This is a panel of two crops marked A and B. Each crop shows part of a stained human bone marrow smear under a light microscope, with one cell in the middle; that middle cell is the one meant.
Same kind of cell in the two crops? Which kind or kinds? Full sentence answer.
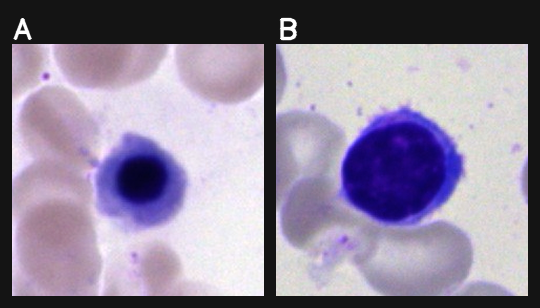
No, crop A contains an erythroblast, and crop B contains a lymphocyte.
